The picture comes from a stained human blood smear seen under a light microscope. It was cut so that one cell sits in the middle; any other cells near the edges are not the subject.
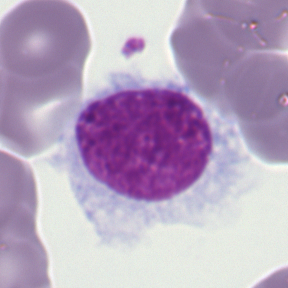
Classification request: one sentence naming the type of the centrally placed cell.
The cell under consideration, at the middle of the crop, is a hairy cell.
